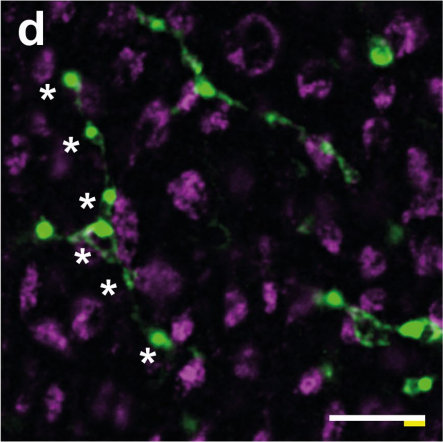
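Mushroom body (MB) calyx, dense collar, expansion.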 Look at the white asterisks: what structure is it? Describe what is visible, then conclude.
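Thread-like arrangement. The chain of green swellings runs past several magenta profiles.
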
